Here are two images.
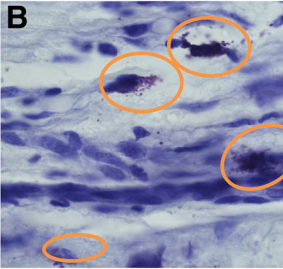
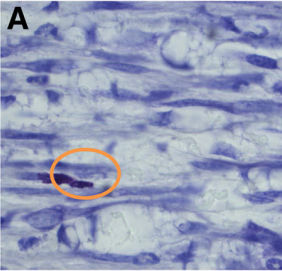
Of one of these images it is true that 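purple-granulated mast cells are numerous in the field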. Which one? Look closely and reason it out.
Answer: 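First image: three large purple granular cells are circled, with scattered granules around them. Second image: only a single small purple cell is circled.
Conclusion: the first image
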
